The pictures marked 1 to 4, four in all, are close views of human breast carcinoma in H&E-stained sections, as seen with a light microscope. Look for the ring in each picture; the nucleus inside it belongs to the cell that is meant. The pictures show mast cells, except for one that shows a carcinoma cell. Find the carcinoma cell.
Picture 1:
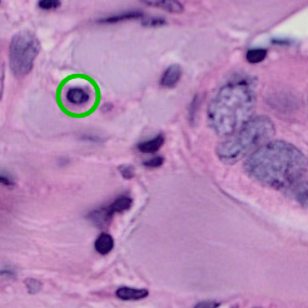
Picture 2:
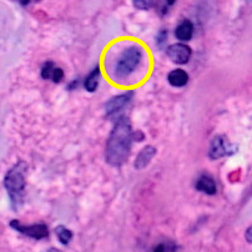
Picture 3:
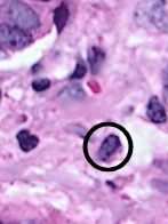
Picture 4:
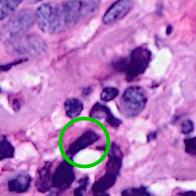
4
